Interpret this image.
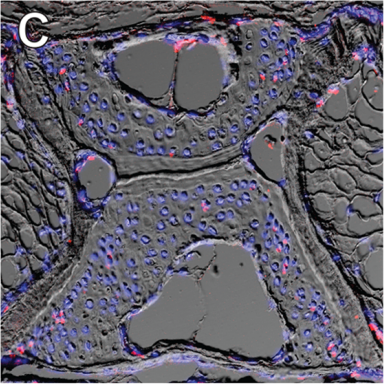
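Cartilage forms a frame around large rounded spaces, with smaller rounded spaces at the sides. Chondrocytes lie singly in clear lacunae scattered through the smooth matrix, their nuclei blue. Pink to white nuclei appear scattered, many of them at the rim of the cartilage and in the surrounding tissue, rather than deep within the matrix. Large polygonal muscle fibres border the section on both sides, and the layers lining the cartilage look compact and fibrous.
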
